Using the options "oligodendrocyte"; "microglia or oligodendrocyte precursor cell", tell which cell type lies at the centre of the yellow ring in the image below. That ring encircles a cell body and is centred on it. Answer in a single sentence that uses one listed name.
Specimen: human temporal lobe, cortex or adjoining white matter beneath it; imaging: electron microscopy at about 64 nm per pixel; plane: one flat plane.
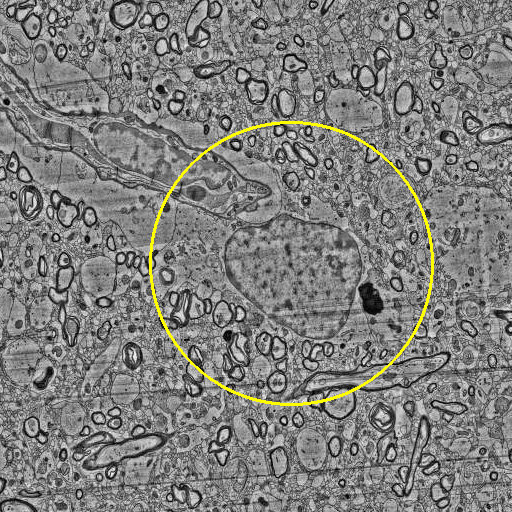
At the centre of the yellow ring lies the body of a microglial cell or oligodendrocyte precursor cell.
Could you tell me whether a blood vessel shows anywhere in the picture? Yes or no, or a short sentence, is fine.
Yes, one is visible.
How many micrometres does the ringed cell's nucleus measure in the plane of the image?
In this plane the nucleus is about 9 micrometres by 8.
